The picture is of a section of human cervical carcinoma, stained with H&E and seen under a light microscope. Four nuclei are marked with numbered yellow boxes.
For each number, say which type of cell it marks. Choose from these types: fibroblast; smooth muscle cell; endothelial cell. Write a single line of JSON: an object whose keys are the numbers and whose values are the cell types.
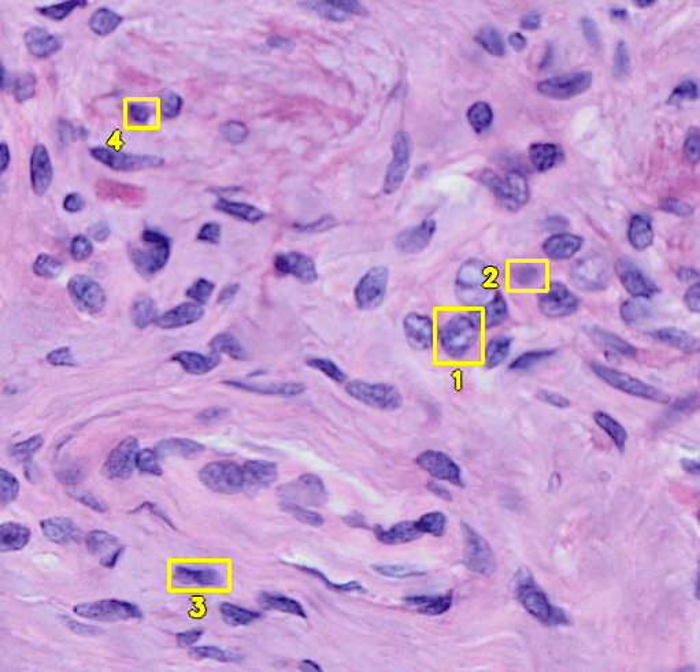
{"1": "endothelial cell", "2": "endothelial cell", "3": "fibroblast", "4": "smooth muscle cell"}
